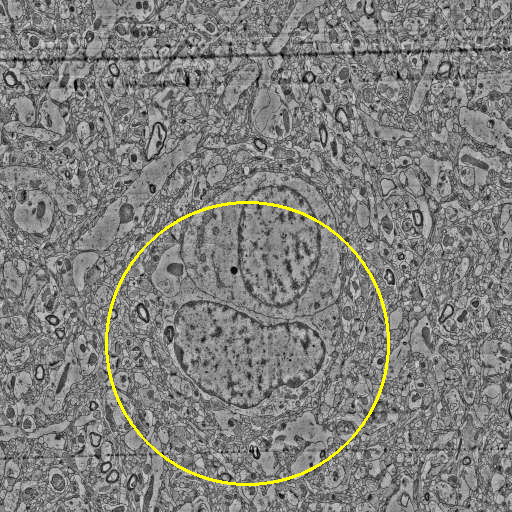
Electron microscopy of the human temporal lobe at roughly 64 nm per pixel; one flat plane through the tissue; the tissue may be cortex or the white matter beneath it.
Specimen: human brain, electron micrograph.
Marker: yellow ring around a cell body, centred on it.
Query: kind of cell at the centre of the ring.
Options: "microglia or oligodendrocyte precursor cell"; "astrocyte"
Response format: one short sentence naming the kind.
This cell body belongs to a microglial cell or oligodendrocyte precursor cell.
